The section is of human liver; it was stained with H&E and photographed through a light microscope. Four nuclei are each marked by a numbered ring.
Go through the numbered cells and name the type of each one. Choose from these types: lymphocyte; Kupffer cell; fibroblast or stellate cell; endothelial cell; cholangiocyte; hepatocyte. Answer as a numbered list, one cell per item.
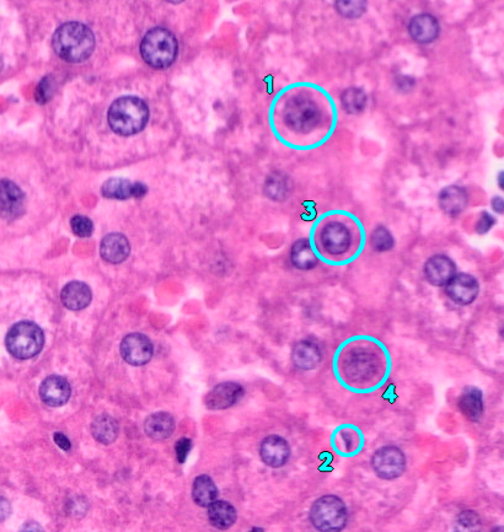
1. hepatocyte
2. endothelial cell
3. hepatocyte
4. hepatocyte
